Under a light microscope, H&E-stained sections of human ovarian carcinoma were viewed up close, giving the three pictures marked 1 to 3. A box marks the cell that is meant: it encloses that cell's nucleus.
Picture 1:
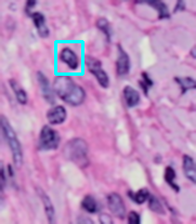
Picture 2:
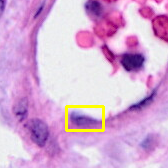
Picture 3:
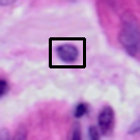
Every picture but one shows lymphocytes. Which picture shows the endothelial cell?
2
